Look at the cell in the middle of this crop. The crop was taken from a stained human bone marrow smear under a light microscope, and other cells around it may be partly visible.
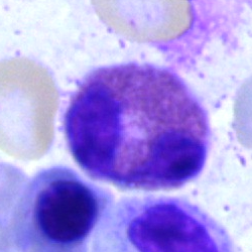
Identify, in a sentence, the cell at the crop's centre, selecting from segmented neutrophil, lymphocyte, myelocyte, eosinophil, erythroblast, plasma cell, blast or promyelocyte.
The central cell in this smear crop is an eosinophil.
